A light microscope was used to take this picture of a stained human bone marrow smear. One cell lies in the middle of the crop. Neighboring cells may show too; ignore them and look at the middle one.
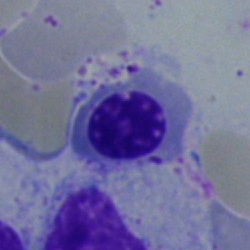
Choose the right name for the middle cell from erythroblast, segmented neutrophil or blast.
erythroblast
